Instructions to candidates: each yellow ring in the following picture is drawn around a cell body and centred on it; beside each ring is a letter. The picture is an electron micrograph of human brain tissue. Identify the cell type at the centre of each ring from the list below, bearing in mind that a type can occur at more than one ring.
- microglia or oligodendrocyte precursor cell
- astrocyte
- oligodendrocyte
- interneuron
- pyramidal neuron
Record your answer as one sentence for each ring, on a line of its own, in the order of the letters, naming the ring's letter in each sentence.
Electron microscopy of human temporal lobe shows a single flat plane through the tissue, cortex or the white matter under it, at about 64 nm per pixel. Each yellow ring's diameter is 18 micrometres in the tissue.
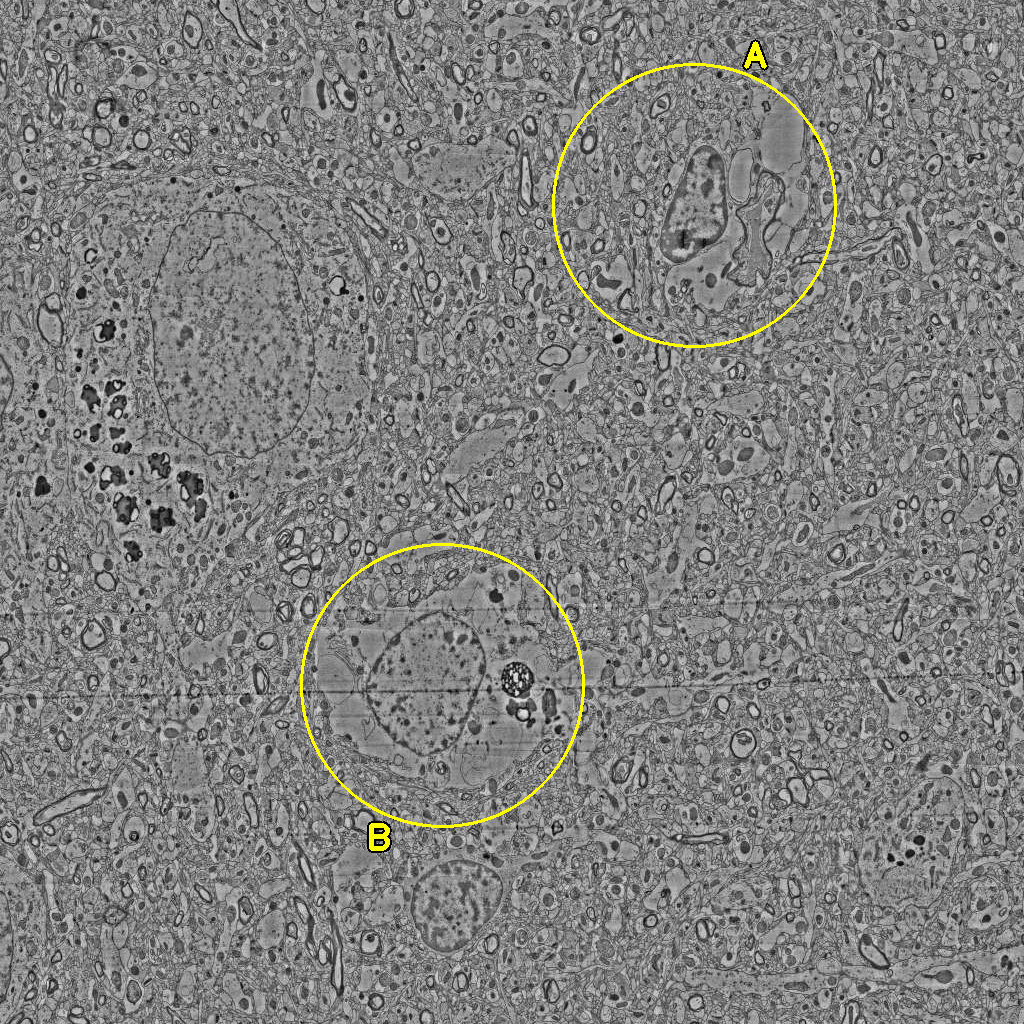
The cell centred in ring A is a microglial cell or oligodendrocyte precursor cell.
The cell centred in ring B is an astrocyte.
